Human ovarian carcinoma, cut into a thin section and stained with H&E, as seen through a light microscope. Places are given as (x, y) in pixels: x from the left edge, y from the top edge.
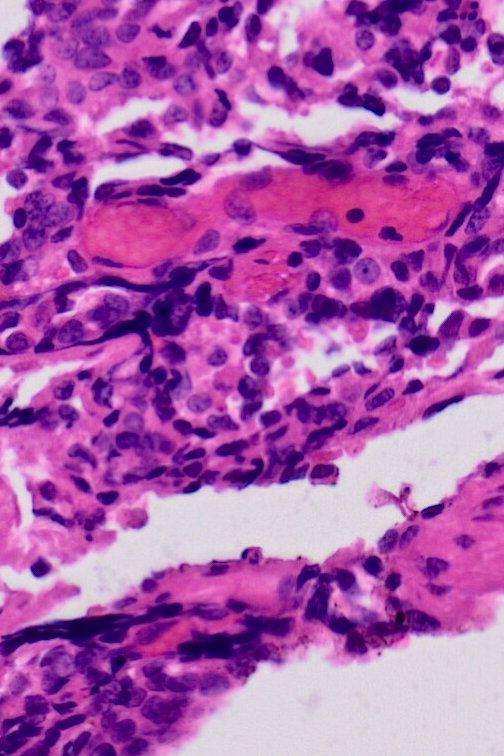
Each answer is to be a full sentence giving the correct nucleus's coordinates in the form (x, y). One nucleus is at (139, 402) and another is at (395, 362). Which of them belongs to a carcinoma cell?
The nucleus that belongs to a carcinoma cell sits at (139, 402).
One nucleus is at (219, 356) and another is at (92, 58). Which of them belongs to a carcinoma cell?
The nucleus whose position is (92, 58) belongs to a carcinoma cell.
